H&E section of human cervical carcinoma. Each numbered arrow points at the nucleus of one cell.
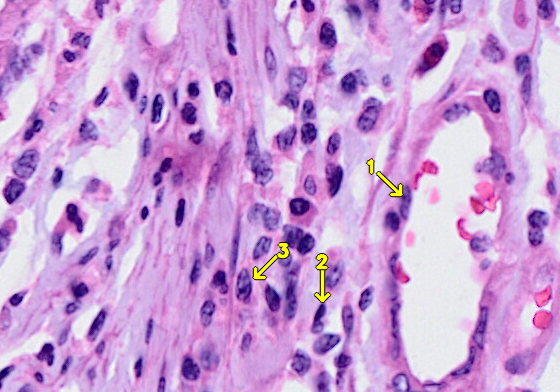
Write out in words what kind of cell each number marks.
Cell 1 is an endothelial cell, cell 2 is a lymphocyte and cell 3 is a lymphocyte.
